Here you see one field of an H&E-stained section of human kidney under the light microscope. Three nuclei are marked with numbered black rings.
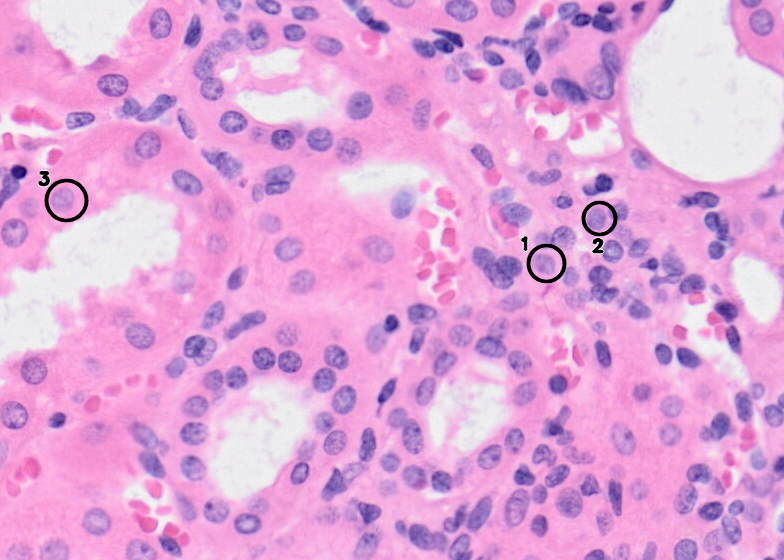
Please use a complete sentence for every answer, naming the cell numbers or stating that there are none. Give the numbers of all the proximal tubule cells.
The numbered cell that is a proximal tubule cell is cell 3, and it is the only one.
